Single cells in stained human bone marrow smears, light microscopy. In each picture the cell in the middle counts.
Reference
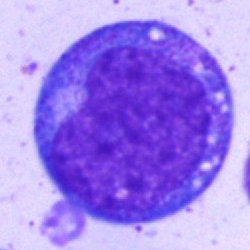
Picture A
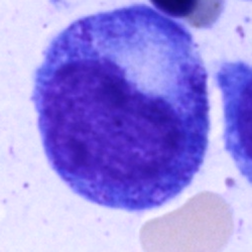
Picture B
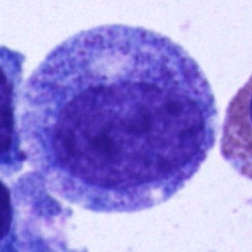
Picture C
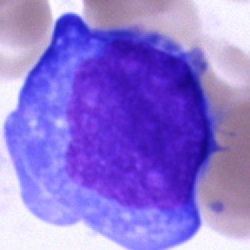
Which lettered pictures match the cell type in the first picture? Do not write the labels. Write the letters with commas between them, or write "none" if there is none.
A, B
